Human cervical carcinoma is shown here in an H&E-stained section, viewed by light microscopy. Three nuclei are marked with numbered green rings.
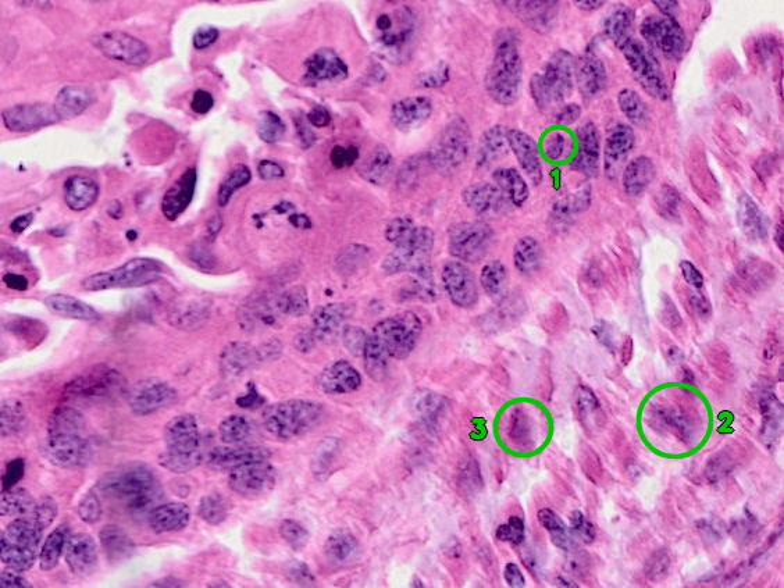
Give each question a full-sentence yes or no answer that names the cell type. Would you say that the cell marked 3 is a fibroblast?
Yes. The cell carrying number 3 is a fibroblast.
